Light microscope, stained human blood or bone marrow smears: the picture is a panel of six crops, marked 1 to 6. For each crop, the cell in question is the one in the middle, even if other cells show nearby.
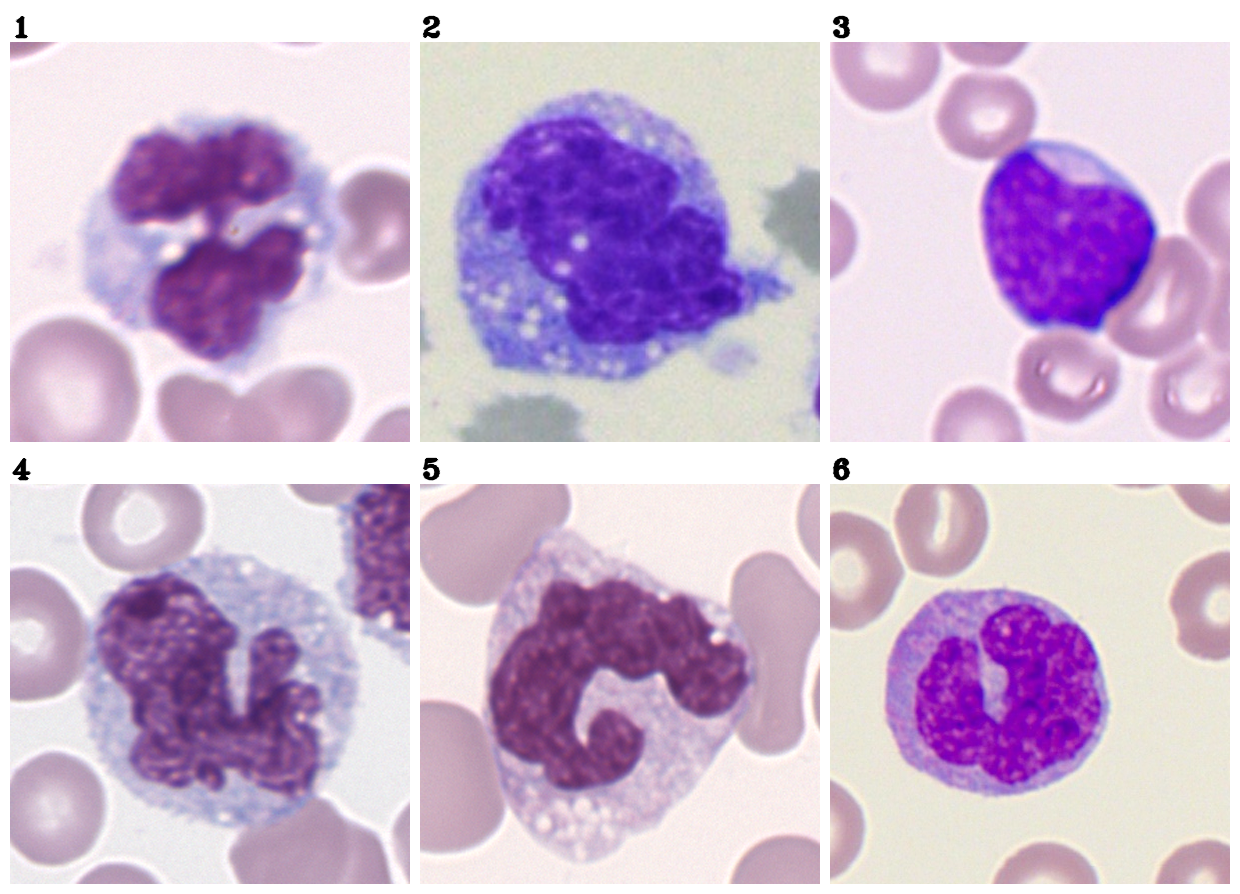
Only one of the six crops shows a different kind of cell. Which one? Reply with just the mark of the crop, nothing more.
3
